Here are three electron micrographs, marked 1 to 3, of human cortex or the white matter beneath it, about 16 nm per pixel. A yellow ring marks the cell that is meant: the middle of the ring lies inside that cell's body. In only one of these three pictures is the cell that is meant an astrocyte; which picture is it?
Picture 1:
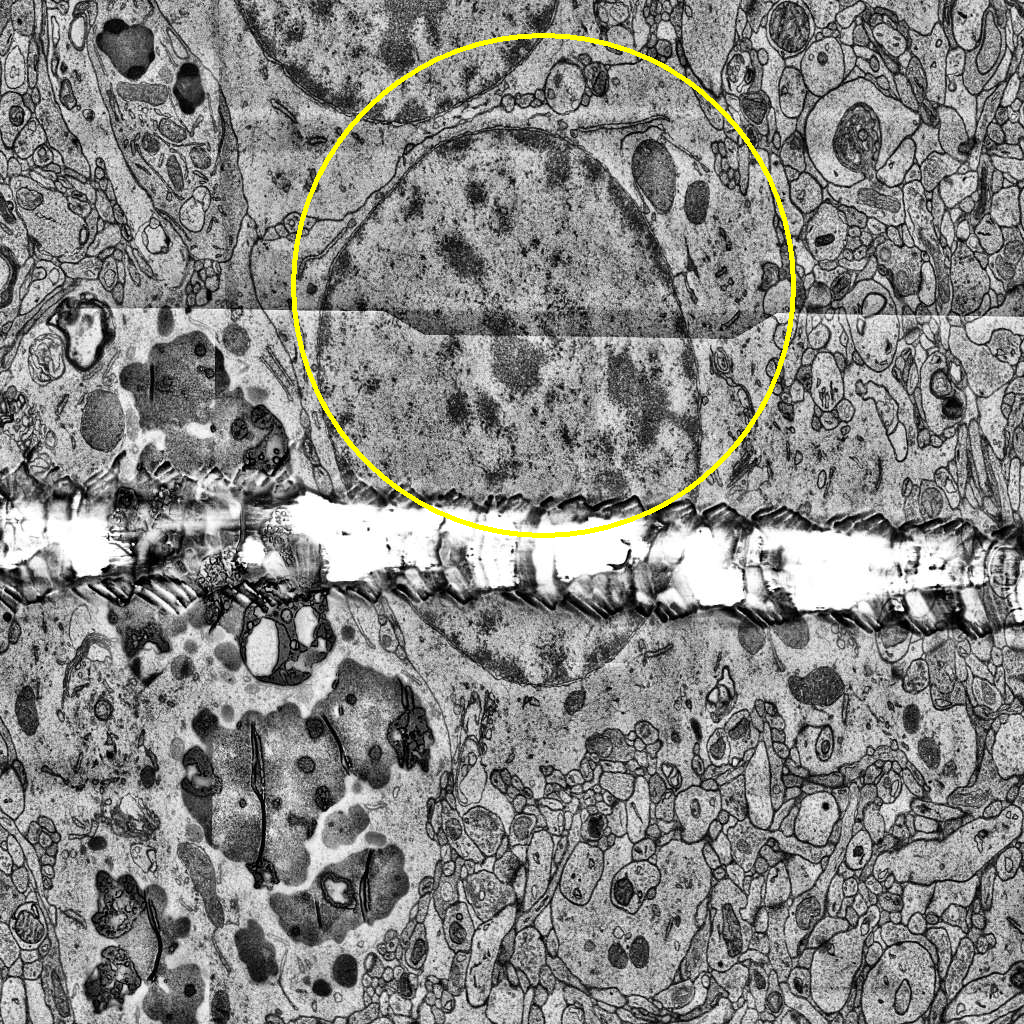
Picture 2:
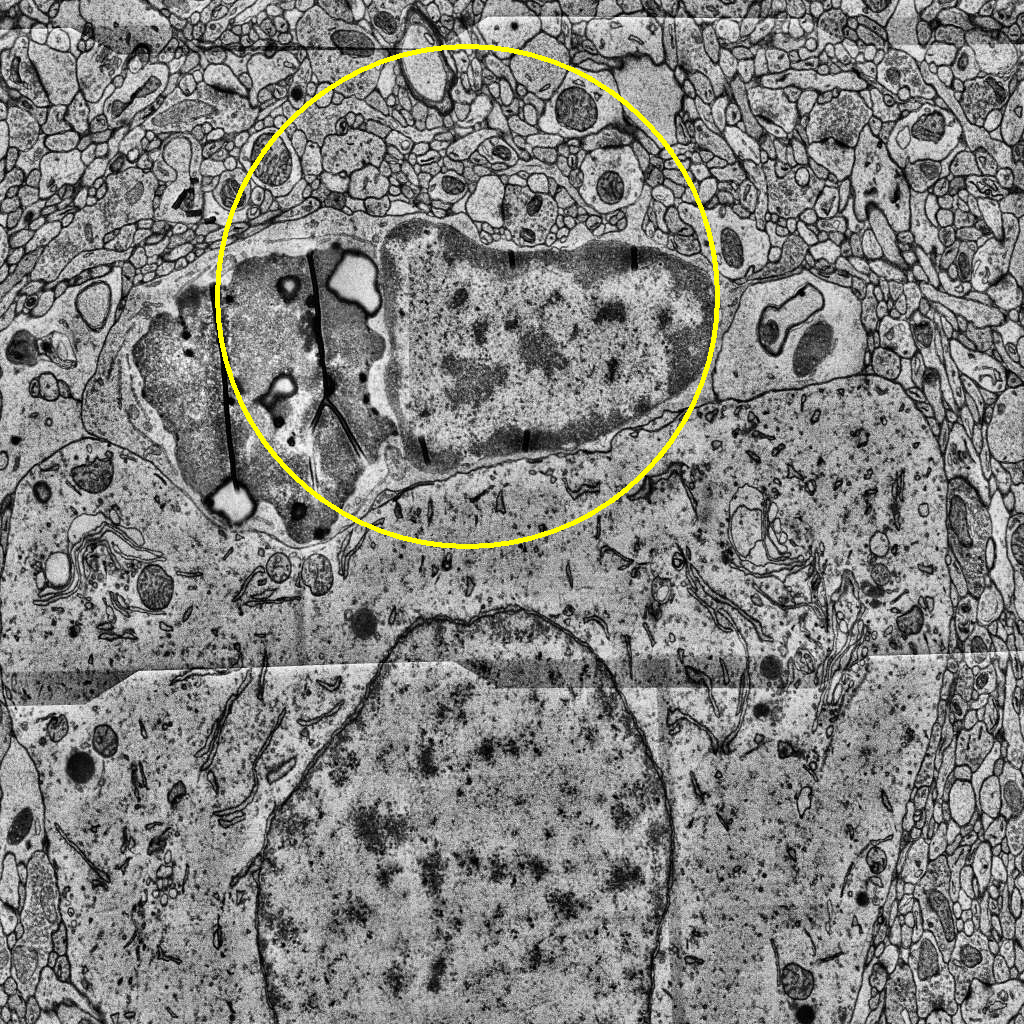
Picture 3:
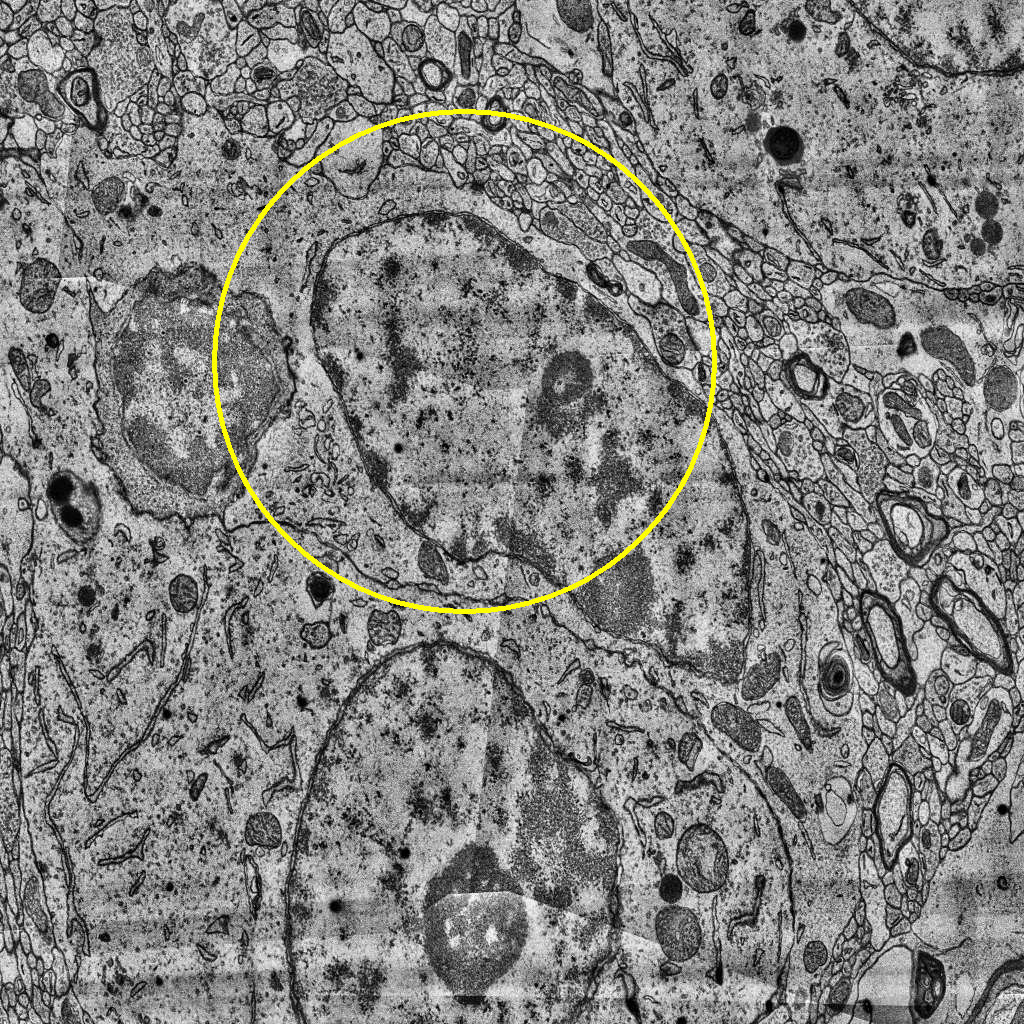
It is picture 1 that shows the astrocyte.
